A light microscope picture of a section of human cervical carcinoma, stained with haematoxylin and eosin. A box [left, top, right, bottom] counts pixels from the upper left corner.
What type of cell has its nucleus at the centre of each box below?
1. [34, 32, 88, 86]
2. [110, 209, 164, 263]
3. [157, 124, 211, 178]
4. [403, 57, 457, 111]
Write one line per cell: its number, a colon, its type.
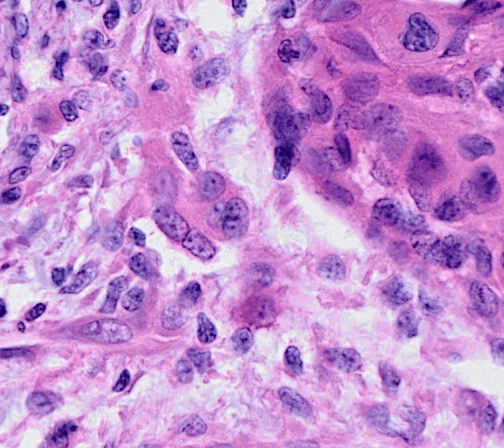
1: lymphocyte
2: lymphocyte
3: macrophage or monocyte
4: squamous carcinoma cell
